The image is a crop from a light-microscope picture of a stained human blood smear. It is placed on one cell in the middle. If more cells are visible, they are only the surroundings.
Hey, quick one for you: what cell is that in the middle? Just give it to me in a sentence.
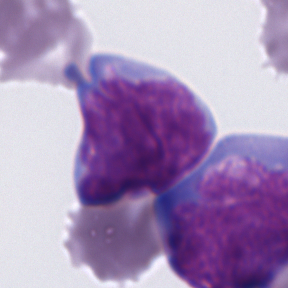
Centrally within this crop lies a myeloblast.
